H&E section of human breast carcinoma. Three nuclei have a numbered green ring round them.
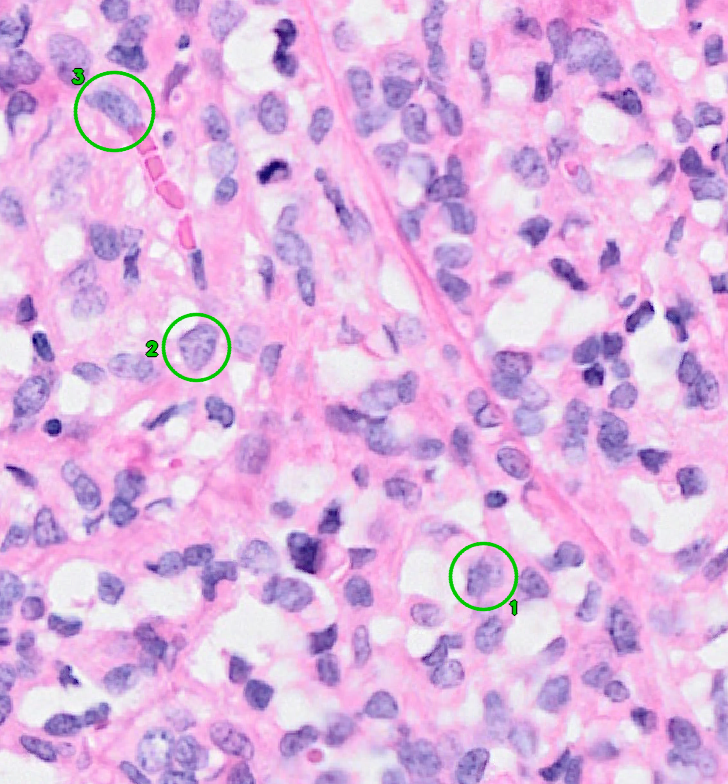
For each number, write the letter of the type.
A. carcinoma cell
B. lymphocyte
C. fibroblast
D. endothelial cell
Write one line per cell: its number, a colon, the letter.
1: A
2: A
3: D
